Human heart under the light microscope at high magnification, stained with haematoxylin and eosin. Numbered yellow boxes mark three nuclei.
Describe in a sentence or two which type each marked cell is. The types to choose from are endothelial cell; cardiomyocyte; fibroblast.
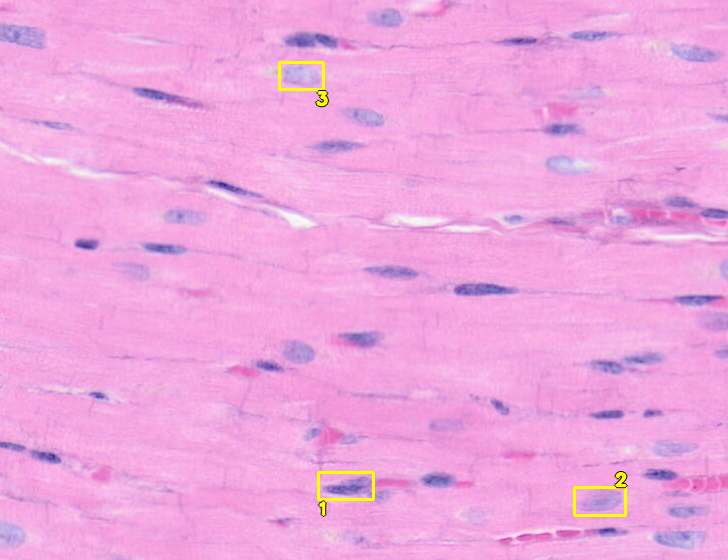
Cell 1 is an endothelial cell, cell 2 is a cardiomyocyte and cell 3 is a cardiomyocyte.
